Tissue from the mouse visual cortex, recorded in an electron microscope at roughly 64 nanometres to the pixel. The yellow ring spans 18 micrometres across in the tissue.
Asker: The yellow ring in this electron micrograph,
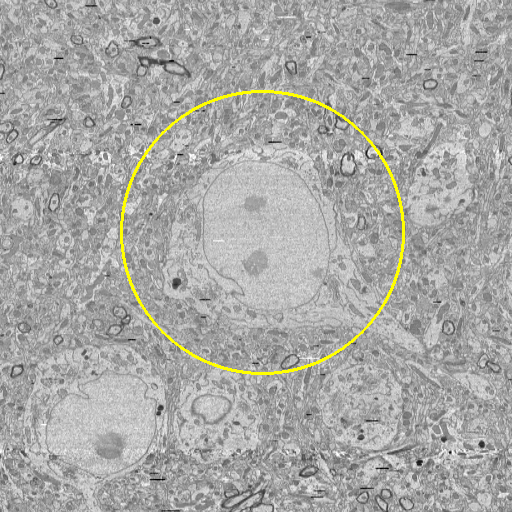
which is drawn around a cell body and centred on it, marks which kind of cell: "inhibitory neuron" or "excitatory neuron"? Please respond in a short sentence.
The marked cell is an excitatory neuron.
